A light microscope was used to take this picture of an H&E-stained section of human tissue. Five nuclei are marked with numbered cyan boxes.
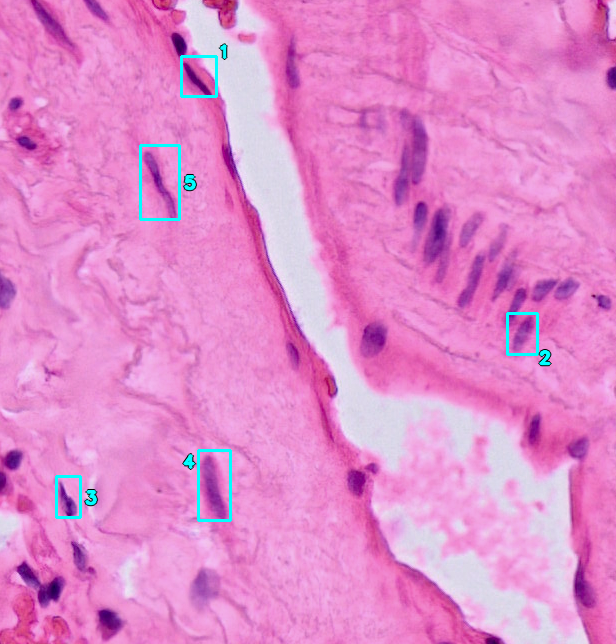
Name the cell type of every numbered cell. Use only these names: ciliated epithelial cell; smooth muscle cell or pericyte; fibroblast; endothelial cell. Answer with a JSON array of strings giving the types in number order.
["endothelial cell", "smooth muscle cell or pericyte", "fibroblast", "smooth muscle cell or pericyte", "smooth muscle cell or pericyte"]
